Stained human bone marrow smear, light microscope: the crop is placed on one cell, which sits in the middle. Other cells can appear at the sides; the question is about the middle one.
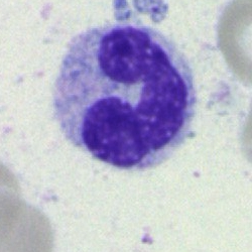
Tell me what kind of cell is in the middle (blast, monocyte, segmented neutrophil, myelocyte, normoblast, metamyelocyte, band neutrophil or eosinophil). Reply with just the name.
monocyte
